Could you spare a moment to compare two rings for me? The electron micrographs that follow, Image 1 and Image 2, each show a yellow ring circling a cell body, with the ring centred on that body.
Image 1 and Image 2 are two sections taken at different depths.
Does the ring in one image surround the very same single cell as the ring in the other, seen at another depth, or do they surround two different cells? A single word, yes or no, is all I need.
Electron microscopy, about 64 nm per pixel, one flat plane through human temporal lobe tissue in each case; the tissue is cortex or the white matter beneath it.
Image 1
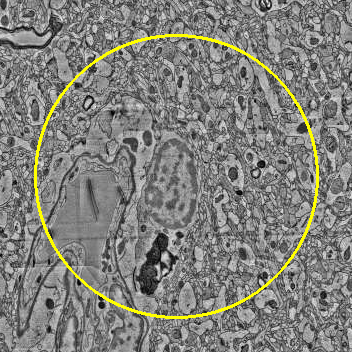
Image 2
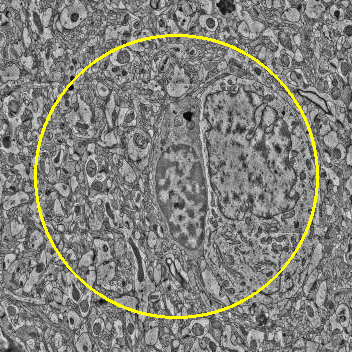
no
